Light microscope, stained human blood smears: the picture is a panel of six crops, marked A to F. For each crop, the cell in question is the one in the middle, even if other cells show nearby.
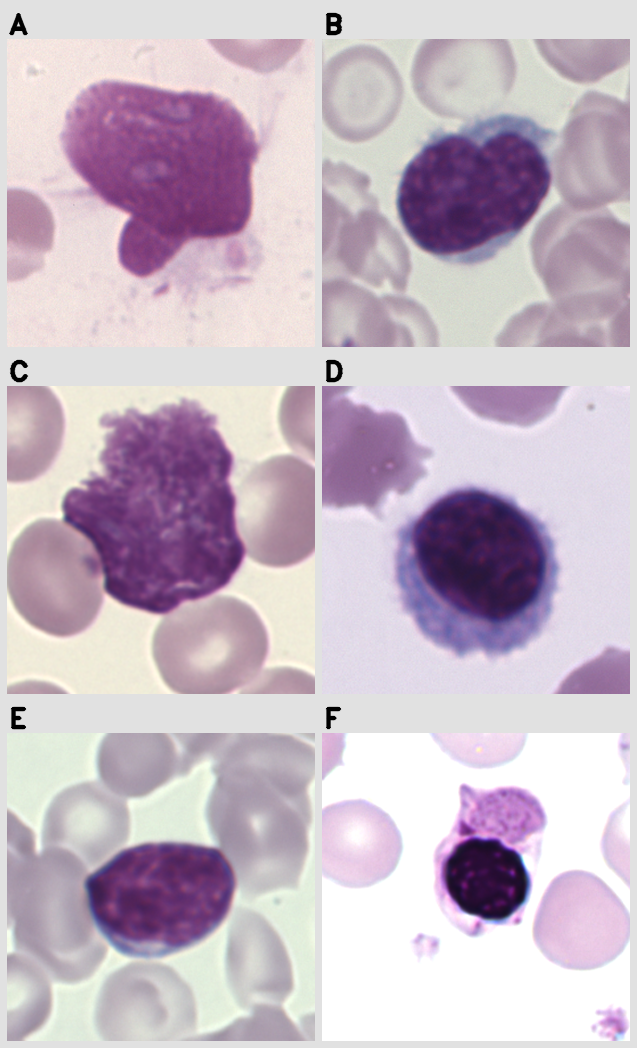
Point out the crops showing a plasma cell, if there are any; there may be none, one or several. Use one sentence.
Each of the crops, without exception, lacks a plasma cell.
